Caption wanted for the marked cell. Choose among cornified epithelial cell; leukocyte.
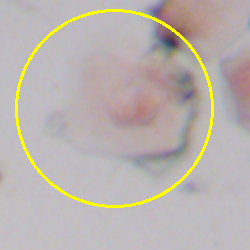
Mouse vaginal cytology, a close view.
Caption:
Ringed in yellow is a cornified epithelial cell.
